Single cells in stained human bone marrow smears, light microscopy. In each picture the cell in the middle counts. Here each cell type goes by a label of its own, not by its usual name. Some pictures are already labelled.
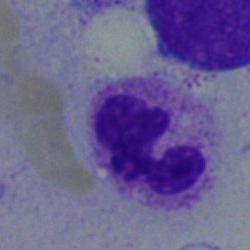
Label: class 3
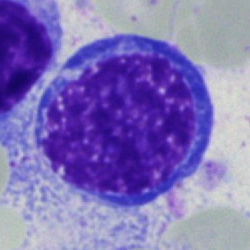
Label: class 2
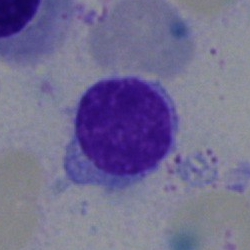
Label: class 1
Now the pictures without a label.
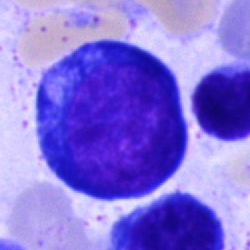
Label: class 2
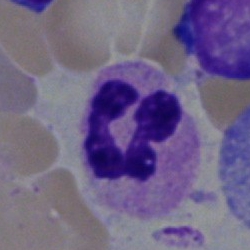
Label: class 3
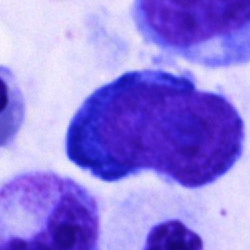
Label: class 2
